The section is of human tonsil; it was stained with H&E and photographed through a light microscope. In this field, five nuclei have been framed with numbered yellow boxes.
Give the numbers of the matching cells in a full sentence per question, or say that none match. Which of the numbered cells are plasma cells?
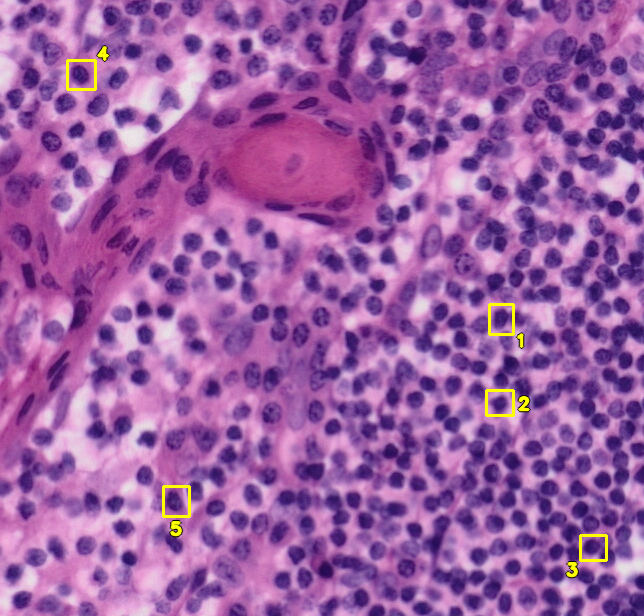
The cells the numbers 4 and 5 point to are plasma cells.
